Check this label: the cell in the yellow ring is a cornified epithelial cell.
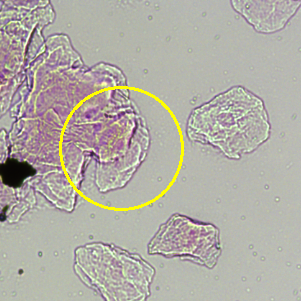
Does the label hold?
The label holds; the cell is a cornified epithelial cell.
